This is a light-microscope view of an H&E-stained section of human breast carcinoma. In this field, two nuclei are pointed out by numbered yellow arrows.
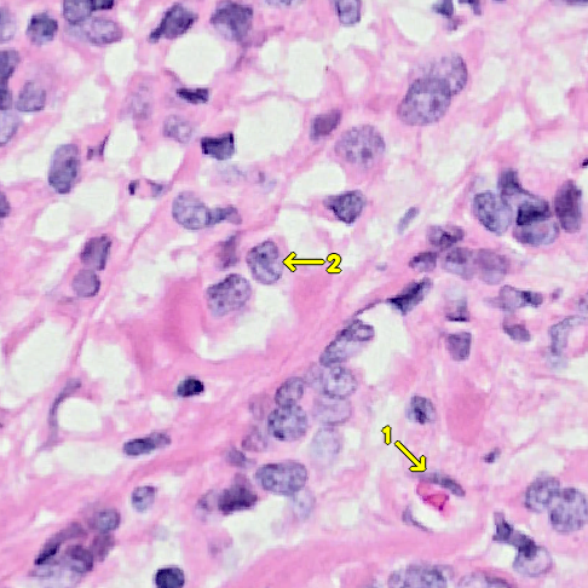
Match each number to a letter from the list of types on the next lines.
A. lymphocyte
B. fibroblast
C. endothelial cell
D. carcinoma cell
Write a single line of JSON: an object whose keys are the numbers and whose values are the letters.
{"1": "C", "2": "D"}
